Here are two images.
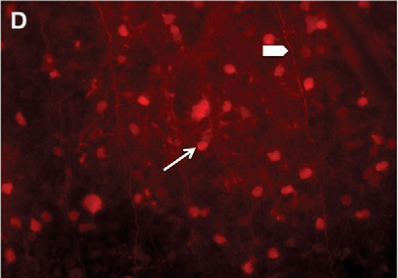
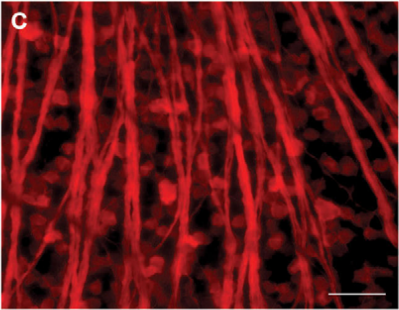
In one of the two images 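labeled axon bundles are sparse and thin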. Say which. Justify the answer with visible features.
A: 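First image: only a few faint, thin red fibers cross the field. Second image: many thick, bright red fiber bundles run in parallel across the field. That points to this answer: the first image.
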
